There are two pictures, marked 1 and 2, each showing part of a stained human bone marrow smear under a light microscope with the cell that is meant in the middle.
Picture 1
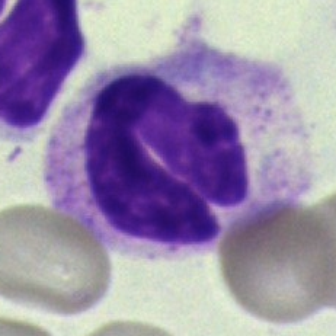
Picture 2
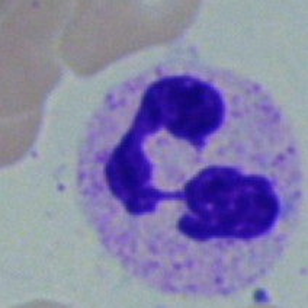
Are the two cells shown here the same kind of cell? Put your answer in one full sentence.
Yes, they are the same type: both are segmented neutrophils.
